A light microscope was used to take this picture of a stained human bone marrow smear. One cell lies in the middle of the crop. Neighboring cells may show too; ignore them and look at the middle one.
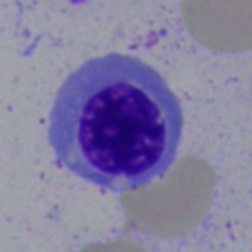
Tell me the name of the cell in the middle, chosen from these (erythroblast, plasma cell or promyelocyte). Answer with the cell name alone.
erythroblast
